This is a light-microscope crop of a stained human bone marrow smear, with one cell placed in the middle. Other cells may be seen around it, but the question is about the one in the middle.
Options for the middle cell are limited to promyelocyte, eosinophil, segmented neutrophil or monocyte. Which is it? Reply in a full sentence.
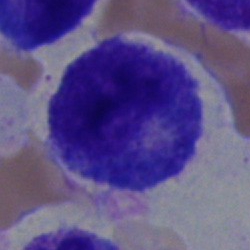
The cell at the middle of the crop is recognized as a promyelocyte.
